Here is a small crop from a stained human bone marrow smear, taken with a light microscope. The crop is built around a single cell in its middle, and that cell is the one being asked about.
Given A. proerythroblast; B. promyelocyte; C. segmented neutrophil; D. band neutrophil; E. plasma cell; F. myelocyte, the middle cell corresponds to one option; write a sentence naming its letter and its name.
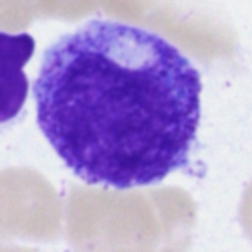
The correct option is B, as the central cell is a promyelocyte.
